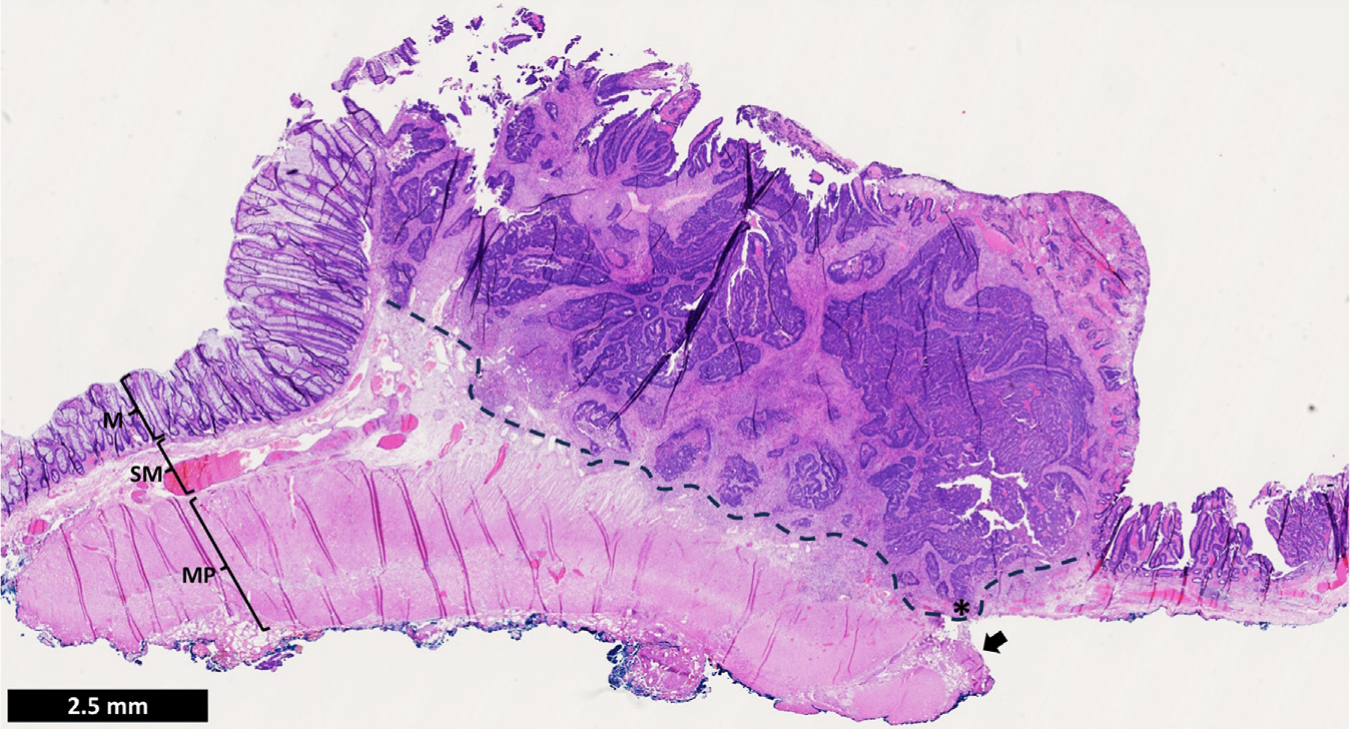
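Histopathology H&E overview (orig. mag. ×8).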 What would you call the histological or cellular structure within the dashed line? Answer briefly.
Invasive front of the tumor.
